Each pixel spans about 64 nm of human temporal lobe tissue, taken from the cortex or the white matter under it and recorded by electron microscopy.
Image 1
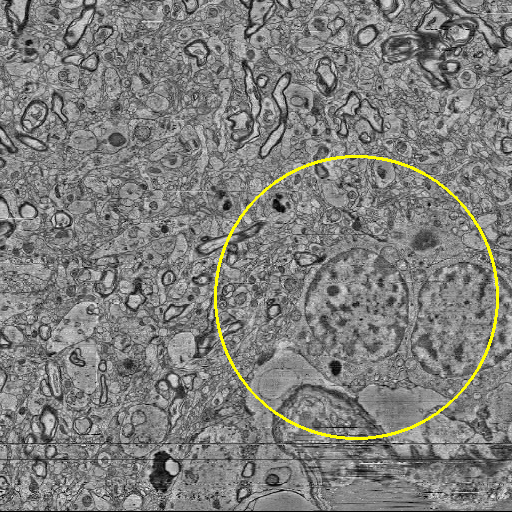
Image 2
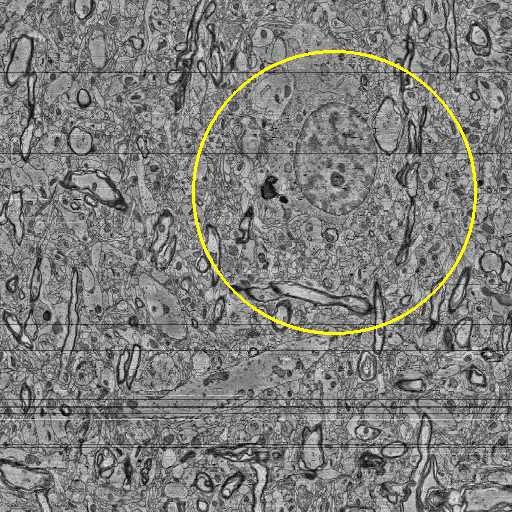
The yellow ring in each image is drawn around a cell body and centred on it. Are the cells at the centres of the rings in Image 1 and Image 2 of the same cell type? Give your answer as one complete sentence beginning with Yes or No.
Yes, both cells are of the same type.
